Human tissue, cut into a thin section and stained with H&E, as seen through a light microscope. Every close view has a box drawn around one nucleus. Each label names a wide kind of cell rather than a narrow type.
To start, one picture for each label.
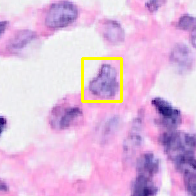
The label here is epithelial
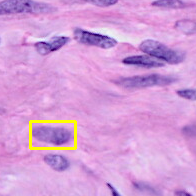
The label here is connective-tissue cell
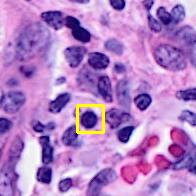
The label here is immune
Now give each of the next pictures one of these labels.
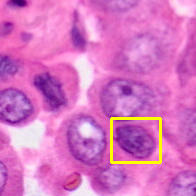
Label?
epithelial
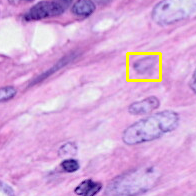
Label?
connective-tissue cell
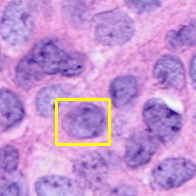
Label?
epithelial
